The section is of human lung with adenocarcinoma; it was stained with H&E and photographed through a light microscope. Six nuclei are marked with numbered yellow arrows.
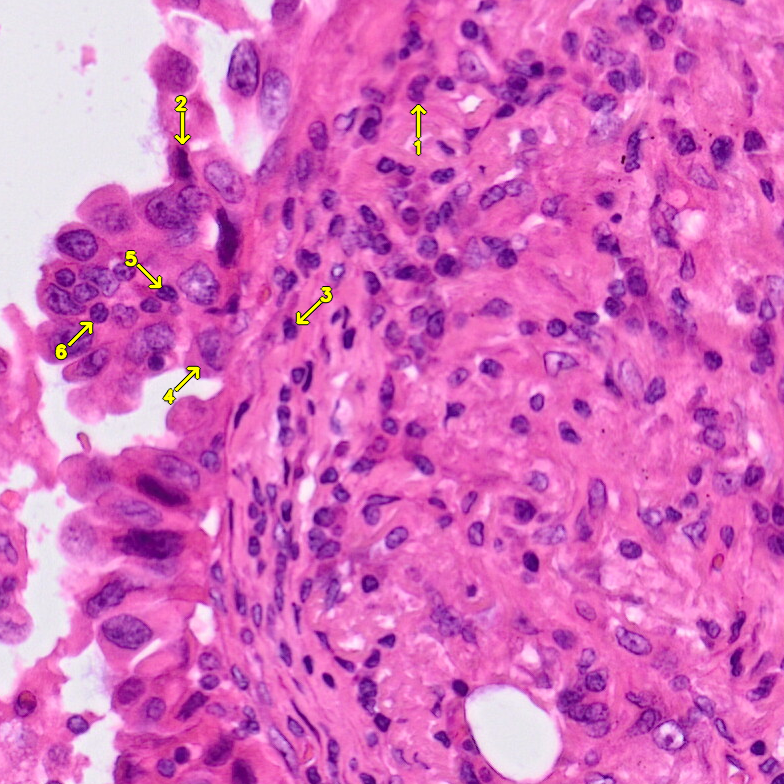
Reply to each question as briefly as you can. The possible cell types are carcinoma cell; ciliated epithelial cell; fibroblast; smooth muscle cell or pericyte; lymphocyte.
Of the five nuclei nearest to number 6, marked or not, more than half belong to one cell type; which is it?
carcinoma cell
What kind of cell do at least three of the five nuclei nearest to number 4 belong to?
fibroblast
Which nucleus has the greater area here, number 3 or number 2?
2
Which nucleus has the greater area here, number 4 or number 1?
4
